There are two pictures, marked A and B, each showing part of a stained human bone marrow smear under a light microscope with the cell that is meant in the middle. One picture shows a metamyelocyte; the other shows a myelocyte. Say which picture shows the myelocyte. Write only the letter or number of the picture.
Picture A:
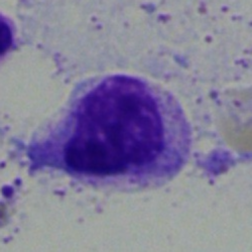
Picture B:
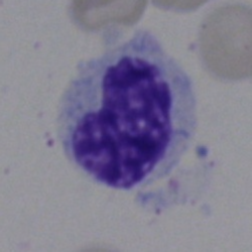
A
